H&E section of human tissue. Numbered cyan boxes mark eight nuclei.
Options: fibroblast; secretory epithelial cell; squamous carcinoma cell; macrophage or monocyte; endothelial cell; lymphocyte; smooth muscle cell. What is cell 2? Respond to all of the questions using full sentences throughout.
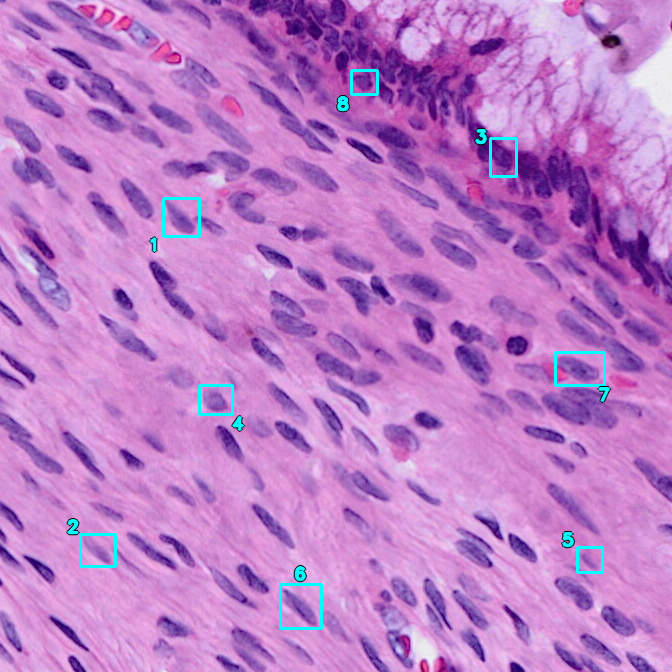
Number 2 is placed on a fibroblast here.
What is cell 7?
Belonging to an endothelial cell is the nucleus that carries the number 7.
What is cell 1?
Regarding cell 1, this one is a fibroblast.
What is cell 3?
The numbered cell 3 is identified here as a secretory epithelial cell.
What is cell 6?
The cell that goes by number 6 is a fibroblast.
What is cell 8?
Number 8 among the marked cells is a secretory epithelial cell.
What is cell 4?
The mark numbered 4 indicates the nucleus of a fibroblast.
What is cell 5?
Of the numbered cells, the one labelled 5 is a fibroblast.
